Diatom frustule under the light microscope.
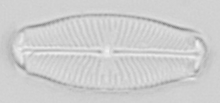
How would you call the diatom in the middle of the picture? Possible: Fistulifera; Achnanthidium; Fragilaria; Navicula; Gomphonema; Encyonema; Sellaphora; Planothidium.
I would call it Sellaphora.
